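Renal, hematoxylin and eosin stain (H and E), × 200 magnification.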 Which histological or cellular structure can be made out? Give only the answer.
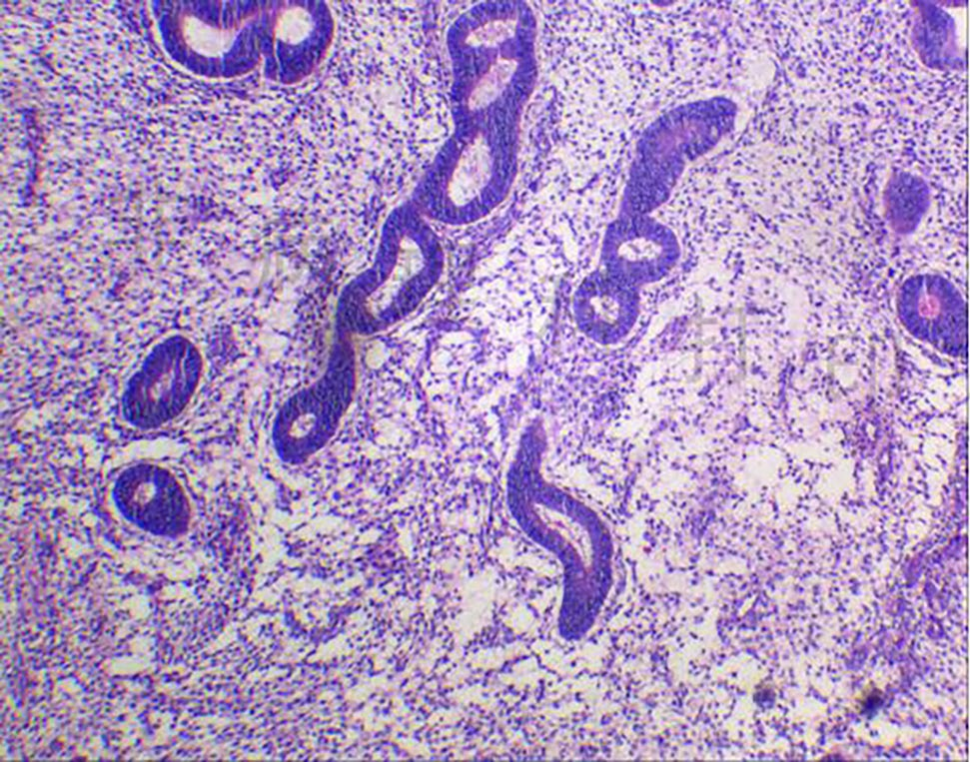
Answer: Endometrial glands.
